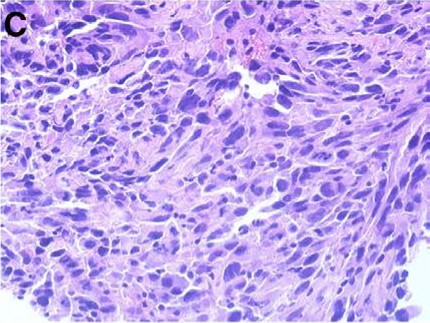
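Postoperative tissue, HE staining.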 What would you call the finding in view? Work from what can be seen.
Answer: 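Nuclei vary widely in size and shape. Nuclei are dark and irregular in outline.
Answer: pleomorphic nuclei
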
